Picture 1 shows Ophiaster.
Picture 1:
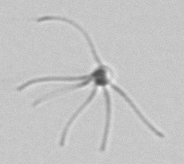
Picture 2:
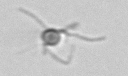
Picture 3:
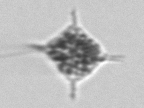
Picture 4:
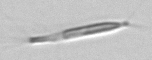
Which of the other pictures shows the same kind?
Picture 2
